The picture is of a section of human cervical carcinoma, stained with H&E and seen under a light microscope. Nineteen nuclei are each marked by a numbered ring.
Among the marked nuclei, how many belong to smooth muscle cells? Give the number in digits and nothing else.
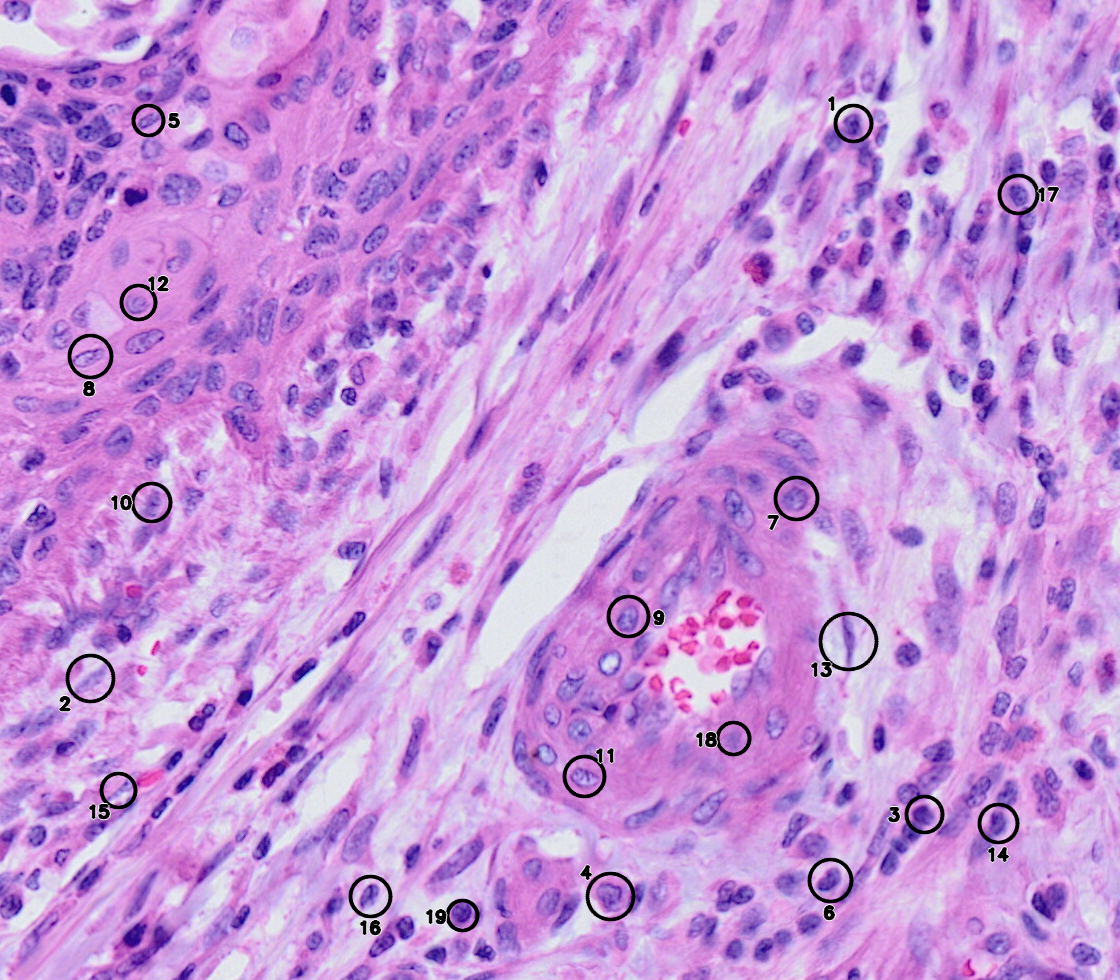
4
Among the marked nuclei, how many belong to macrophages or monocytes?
1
